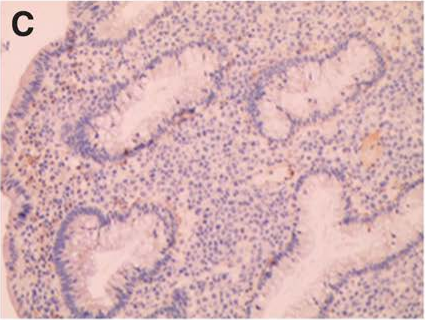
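Mucosa with several irregular glands lined by tall columnar epithelium with pale mucin-filled cytoplasm and blue basal nuclei, and a surface epithelium along one edge. The glands are spread apart by this dense cellular population. This is a lymphocytic infiltrate within the mucosa, with the infiltrating lymphocytes unstained.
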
